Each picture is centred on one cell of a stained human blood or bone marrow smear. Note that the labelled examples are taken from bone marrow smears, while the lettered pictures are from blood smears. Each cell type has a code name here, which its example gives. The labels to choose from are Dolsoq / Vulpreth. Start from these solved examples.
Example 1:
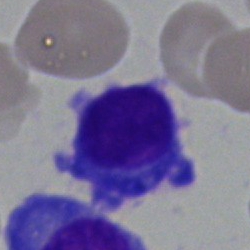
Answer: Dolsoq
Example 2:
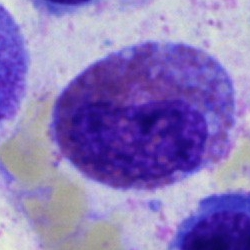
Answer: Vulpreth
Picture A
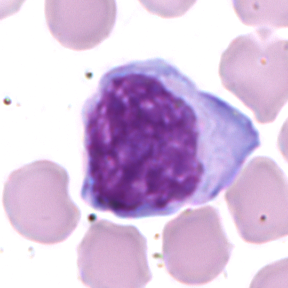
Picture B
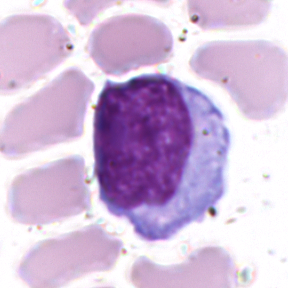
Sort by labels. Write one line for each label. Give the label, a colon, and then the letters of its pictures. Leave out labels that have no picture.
Dolsoq: A, B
